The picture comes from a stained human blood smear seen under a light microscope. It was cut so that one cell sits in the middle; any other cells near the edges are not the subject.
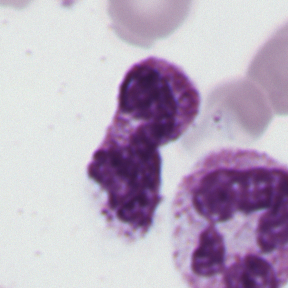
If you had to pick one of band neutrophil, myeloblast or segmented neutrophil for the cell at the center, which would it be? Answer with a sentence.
In the middle of this smear crop is a segmented neutrophil.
